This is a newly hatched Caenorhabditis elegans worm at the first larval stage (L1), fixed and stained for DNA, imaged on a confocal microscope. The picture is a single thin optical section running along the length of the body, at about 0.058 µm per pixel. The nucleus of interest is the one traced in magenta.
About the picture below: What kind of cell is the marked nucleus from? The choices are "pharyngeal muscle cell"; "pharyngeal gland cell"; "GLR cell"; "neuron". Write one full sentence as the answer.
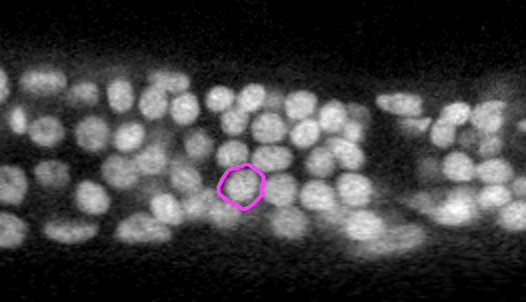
The nucleus comes from a neuron.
